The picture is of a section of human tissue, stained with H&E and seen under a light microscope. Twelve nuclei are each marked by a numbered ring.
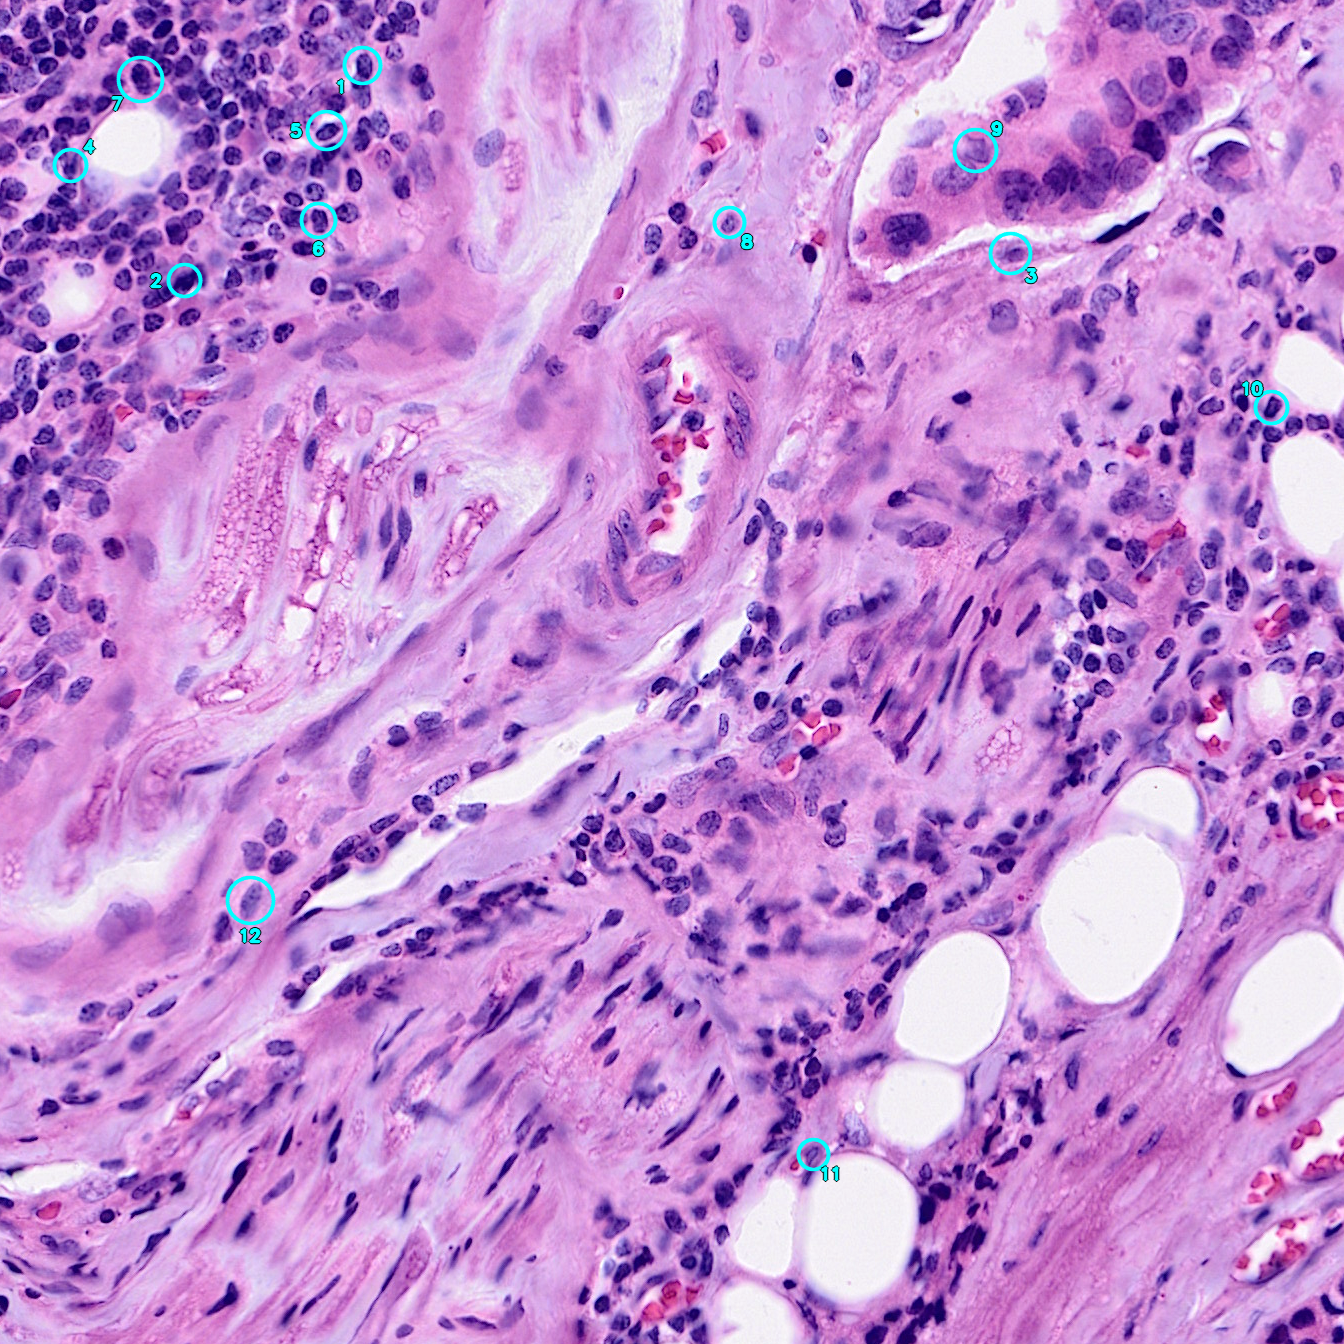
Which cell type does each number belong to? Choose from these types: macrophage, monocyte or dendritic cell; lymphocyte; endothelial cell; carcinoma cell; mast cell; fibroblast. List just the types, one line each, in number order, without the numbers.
lymphocyte
lymphocyte
fibroblast
lymphocyte
lymphocyte
lymphocyte
lymphocyte
mast cell
carcinoma cell
lymphocyte
endothelial cell
mast cell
